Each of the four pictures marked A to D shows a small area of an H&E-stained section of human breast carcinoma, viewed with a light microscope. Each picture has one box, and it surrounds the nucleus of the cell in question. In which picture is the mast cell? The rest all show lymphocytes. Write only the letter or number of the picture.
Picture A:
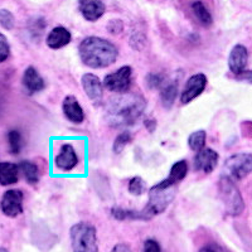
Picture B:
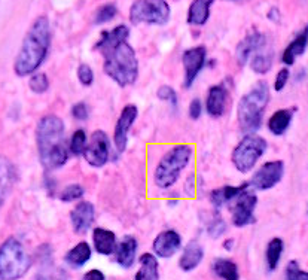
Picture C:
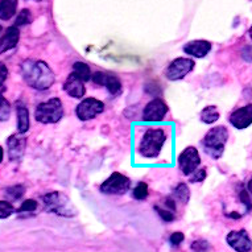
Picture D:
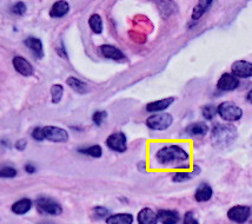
B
